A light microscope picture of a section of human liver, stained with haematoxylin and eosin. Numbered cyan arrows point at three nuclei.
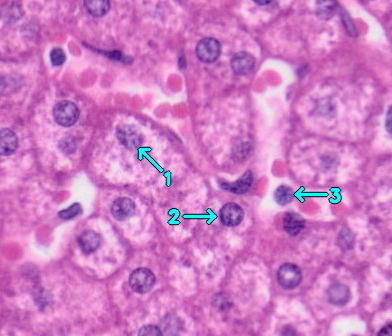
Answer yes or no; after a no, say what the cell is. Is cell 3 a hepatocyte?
No, it is a lymphocyte.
